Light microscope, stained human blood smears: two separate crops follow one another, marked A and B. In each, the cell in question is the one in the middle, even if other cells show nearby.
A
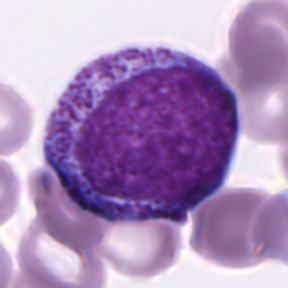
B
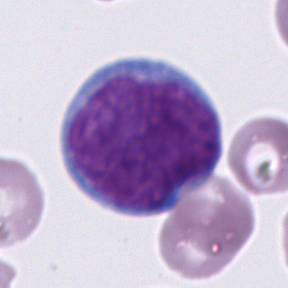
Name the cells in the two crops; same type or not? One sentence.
No, crop A presents a promyelocyte, whereas crop B presents a blast.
